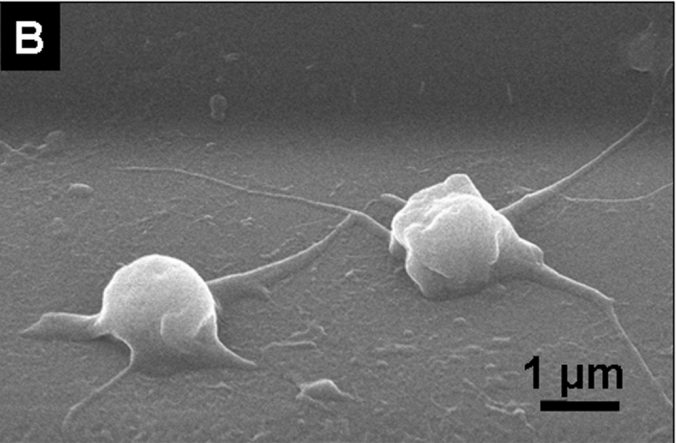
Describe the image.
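These are two blood platelets seen by scanning electron microscopy, resting on a finely roughened artificial surface. Each has a rounded, dome-shaped central body only a couple of micrometres across, with a slightly wrinkled surface. From each body several long, very thin filament-like processes stretch out over the surface, and some of them reach towards the neighbouring platelet. At the base the body flares slightly where it is attached to the substrate.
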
